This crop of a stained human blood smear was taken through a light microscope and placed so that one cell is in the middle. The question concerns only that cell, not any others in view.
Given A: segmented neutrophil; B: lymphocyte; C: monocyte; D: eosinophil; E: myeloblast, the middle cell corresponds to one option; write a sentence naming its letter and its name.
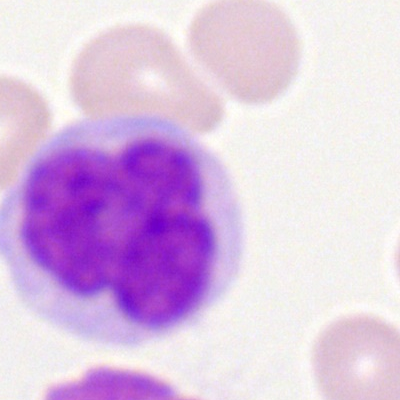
Option C is right, the centrally situated cell being a monocyte.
